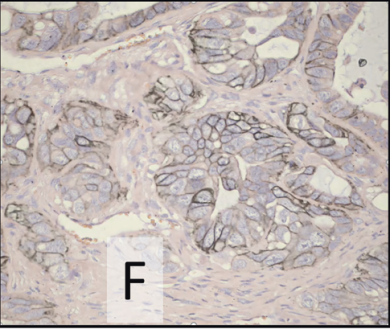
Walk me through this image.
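This is tumor tissue in which nests and glandular clusters of epithelial tumor cells lie in a pale fibrous stroma with spindle-shaped nuclei. The tumor cells have large, round to oval pale purple nuclei and are packed closely together, some clusters enclosing small lumens. Dark grey-black lines trace the borders between many of the tumor cells, outlining them like a net, while the stroma is almost free of this dark staining. The image is a faint pink-and-purple overlay, so the dark membrane outlines stand out over the lighter tissue.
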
